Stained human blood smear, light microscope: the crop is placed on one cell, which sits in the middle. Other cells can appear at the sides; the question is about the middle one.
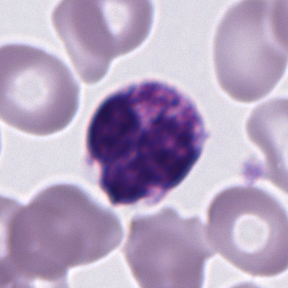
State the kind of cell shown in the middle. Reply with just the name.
basophil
